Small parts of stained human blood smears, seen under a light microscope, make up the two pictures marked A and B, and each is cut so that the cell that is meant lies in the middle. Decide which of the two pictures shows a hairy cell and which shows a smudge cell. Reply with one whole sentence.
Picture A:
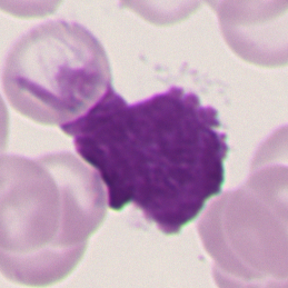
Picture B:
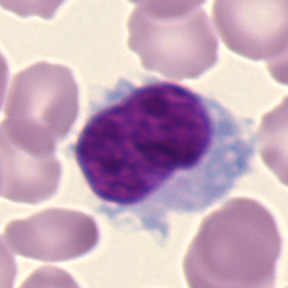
Picture A is of a smudge cell, and picture B is of a hairy cell.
